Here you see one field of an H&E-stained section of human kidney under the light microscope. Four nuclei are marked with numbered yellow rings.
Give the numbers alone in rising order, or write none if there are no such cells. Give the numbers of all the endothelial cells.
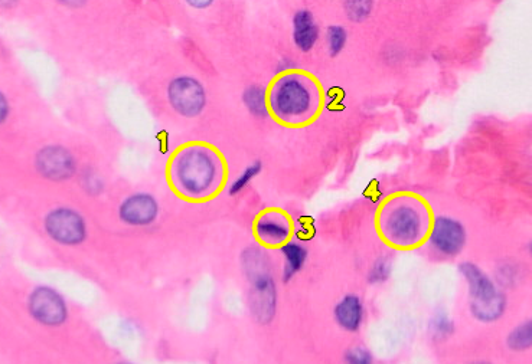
3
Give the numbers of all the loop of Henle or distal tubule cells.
4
